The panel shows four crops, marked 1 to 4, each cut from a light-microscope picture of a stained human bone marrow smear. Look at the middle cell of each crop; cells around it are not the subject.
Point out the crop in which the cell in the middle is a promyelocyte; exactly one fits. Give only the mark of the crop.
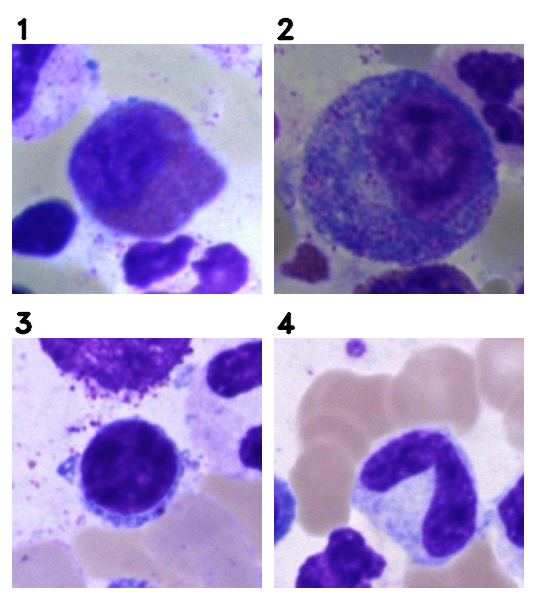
2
